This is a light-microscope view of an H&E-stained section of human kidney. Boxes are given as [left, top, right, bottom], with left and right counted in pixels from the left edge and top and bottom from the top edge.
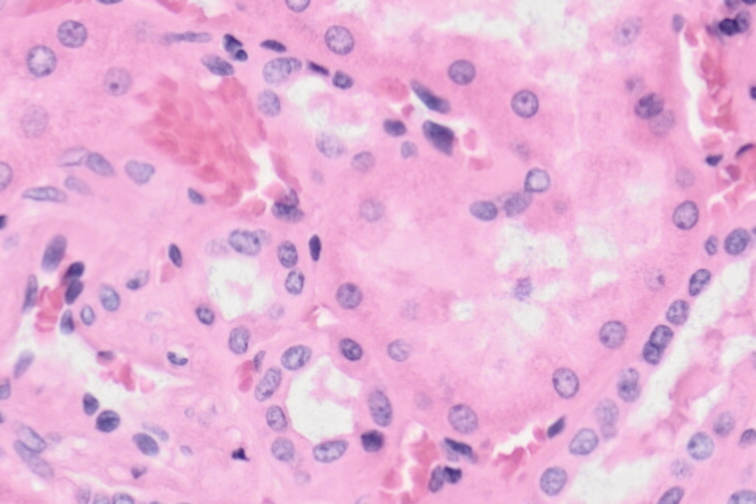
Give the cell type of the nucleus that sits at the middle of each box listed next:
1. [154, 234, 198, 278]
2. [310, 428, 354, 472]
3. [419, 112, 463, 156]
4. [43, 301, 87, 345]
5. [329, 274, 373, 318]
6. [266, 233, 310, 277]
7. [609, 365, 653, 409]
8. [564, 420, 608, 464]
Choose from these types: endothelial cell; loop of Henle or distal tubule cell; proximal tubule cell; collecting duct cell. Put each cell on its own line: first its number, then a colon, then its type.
1: endothelial cell
2: loop of Henle or distal tubule cell
3: endothelial cell
4: endothelial cell
5: proximal tubule cell
6: collecting duct cell
7: collecting duct cell
8: collecting duct cell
